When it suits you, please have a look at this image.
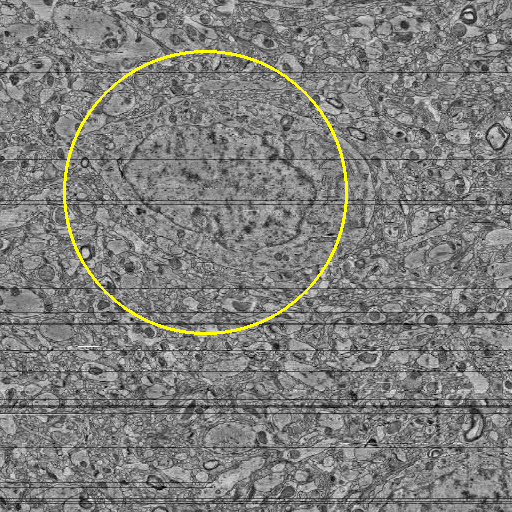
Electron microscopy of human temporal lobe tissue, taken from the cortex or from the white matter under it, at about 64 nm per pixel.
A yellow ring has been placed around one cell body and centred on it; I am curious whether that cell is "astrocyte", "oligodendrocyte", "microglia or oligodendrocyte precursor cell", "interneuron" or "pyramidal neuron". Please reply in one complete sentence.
The ringed cell, an interneuron, has its body at the centre of the yellow ring.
